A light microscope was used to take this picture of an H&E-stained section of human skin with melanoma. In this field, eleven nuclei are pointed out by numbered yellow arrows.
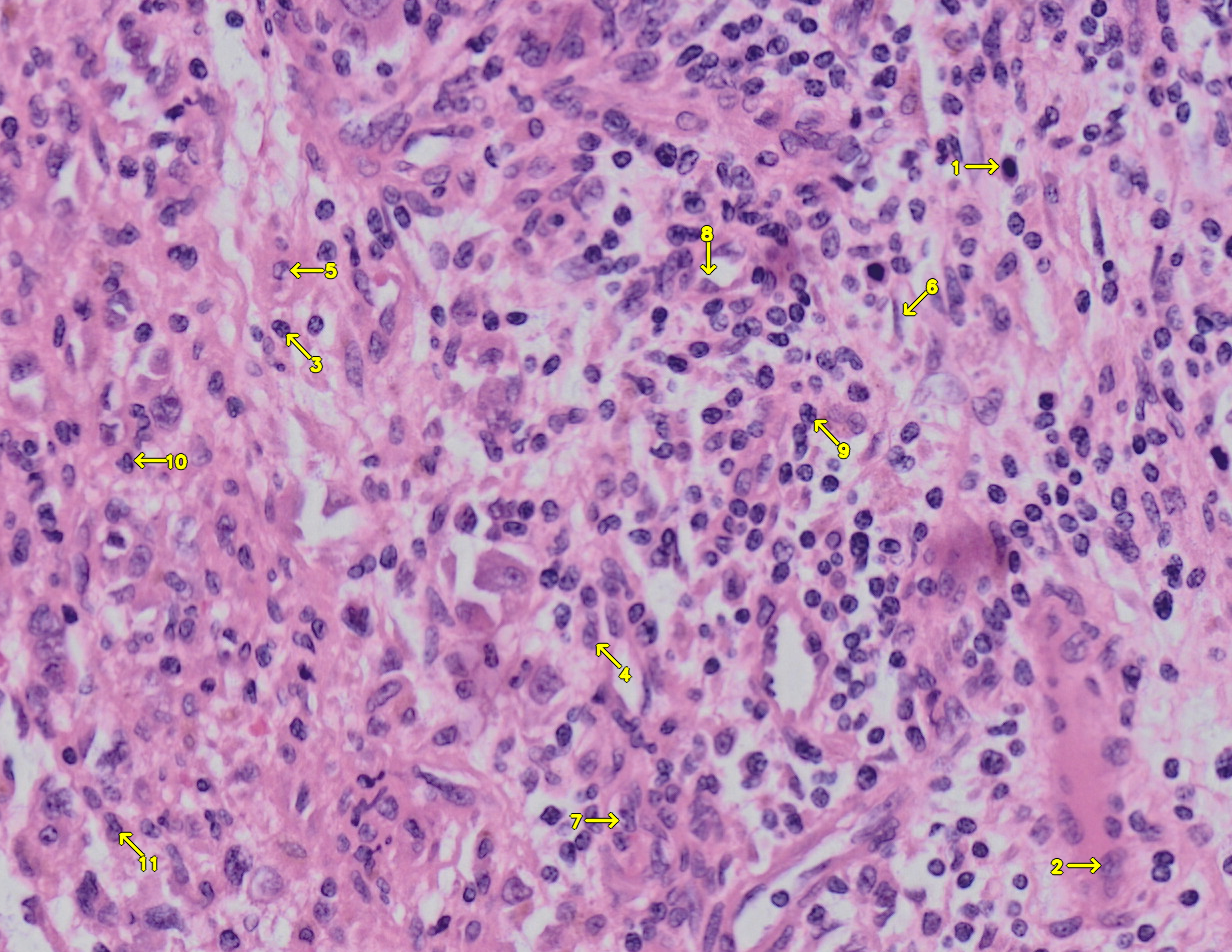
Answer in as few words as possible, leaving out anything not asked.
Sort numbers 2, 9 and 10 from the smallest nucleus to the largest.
10, 9, 2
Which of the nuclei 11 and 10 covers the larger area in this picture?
11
